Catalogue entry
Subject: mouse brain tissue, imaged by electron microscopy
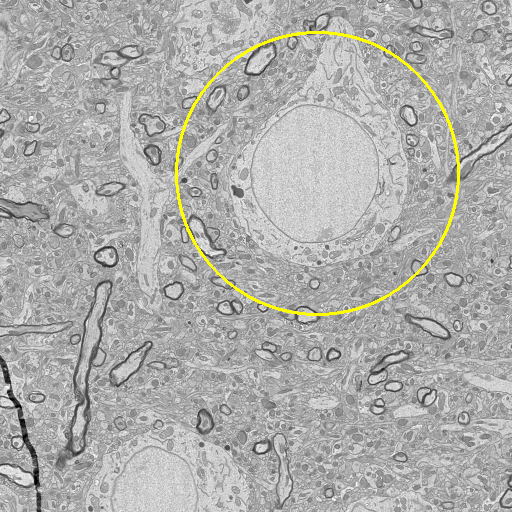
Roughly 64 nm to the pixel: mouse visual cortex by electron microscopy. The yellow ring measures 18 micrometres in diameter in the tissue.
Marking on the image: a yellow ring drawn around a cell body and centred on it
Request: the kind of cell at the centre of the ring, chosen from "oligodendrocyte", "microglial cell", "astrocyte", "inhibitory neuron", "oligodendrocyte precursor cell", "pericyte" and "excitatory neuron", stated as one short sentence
The ring has an excitatory neuron at its centre.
